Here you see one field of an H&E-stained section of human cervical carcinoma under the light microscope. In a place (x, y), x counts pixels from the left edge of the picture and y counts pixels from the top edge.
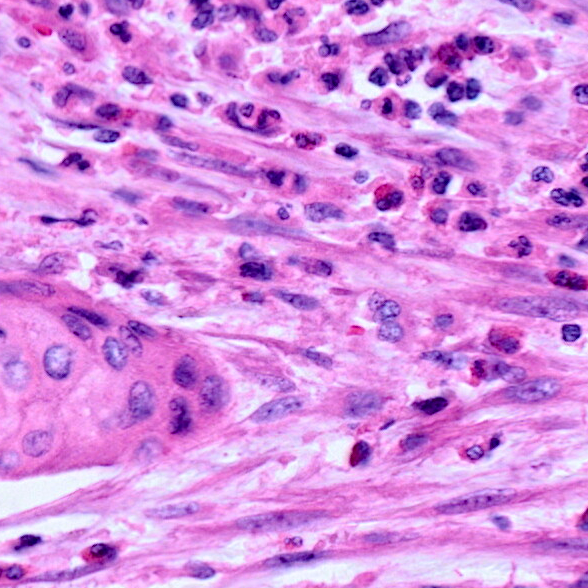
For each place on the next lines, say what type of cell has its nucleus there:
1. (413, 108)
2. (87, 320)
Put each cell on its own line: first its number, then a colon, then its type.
1: lymphocyte
2: squamous carcinoma cell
